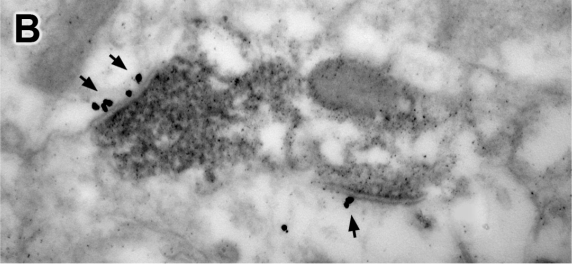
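Electron micrograph of neuropil with a presynaptic terminal filled with dark granular reaction product. An oval grey profile resembling a mitochondrion lies next to the labelled region. A small cluster of black particles lies at the upper left margin of the dark profile. A further black particle sits at a dense membrane specialization below, at a separate apposition. Fine scattered dots lie over the background.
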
